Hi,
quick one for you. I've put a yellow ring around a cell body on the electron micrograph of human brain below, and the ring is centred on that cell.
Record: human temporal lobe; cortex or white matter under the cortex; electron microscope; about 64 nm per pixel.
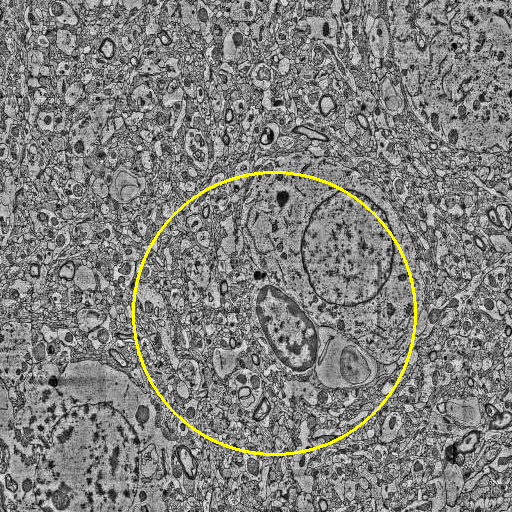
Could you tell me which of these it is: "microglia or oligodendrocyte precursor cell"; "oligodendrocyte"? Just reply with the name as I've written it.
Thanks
microglia or oligodendrocyte precursor cell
